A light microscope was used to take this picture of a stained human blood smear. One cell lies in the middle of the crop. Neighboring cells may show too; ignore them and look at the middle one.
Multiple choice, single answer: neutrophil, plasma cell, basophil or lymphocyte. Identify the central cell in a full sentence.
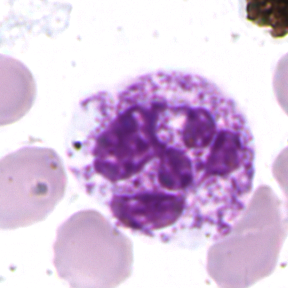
Looking at the middle of the crop, the cell there is a neutrophil.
